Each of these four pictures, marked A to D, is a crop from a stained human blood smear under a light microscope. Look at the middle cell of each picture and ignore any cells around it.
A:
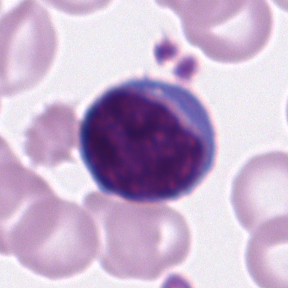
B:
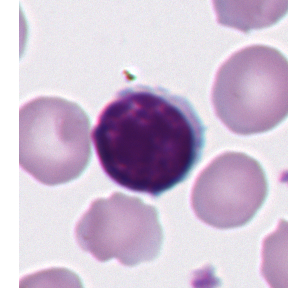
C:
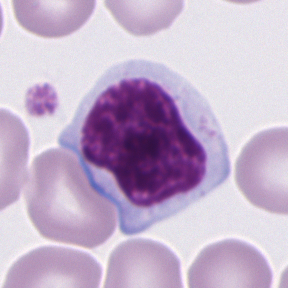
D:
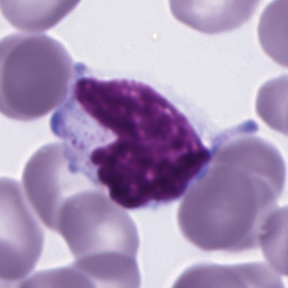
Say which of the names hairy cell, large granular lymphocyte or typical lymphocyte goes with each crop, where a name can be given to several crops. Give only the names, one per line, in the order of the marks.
typical lymphocyte
typical lymphocyte
large granular lymphocyte
typical lymphocyte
